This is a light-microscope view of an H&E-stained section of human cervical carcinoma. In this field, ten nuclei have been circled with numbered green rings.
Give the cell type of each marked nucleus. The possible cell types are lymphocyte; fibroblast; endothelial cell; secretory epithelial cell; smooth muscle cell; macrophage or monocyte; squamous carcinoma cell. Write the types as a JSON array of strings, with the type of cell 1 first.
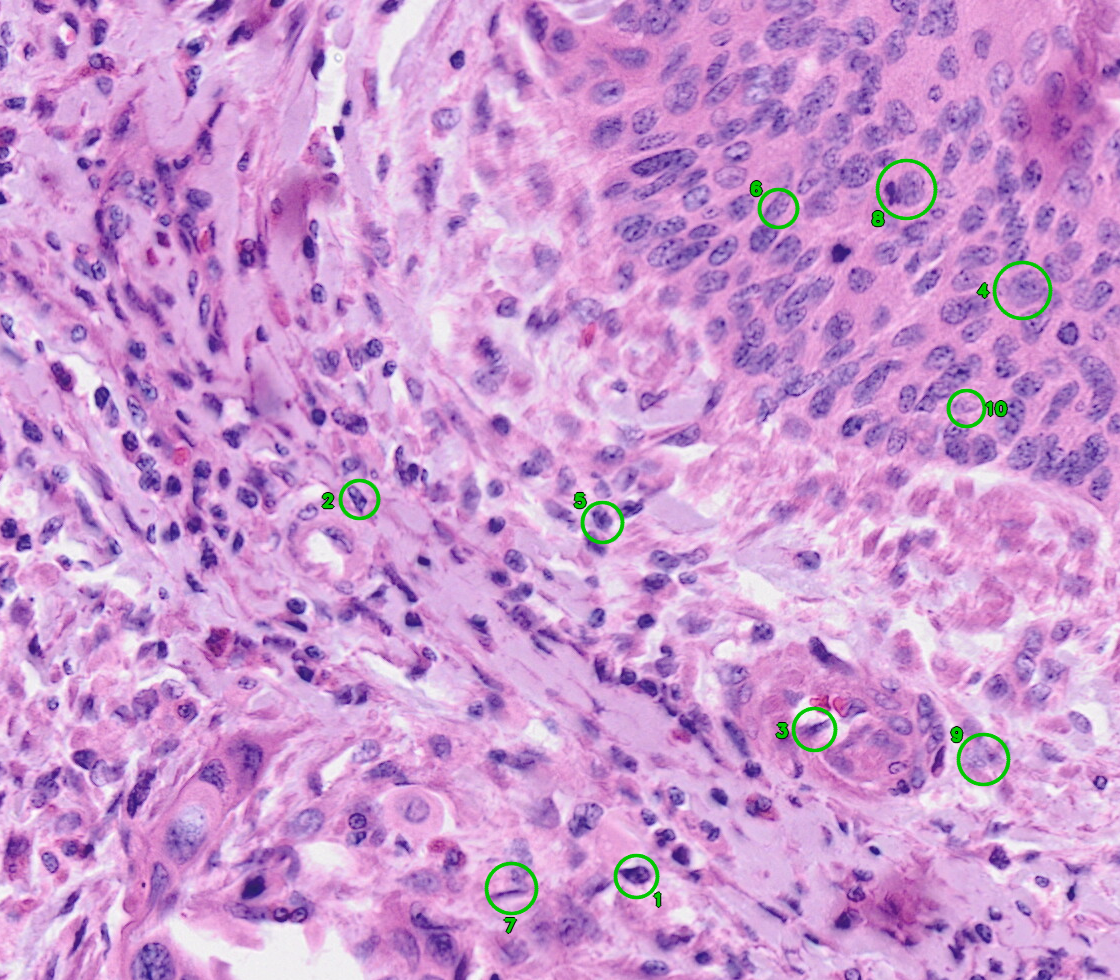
["lymphocyte", "lymphocyte", "endothelial cell", "squamous carcinoma cell", "lymphocyte", "squamous carcinoma cell", "fibroblast", "squamous carcinoma cell", "fibroblast", "squamous carcinoma cell"]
